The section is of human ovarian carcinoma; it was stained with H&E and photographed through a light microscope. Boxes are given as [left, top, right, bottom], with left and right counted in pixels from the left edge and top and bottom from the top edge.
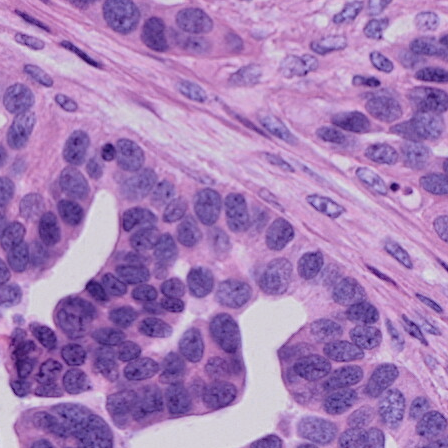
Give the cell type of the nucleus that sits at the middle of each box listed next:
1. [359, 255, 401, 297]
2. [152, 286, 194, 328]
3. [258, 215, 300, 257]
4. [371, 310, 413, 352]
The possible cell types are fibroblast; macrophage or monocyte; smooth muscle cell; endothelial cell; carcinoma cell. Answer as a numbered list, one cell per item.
1. fibroblast
2. carcinoma cell
3. carcinoma cell
4. fibroblast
